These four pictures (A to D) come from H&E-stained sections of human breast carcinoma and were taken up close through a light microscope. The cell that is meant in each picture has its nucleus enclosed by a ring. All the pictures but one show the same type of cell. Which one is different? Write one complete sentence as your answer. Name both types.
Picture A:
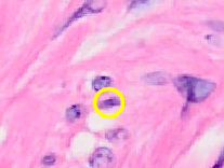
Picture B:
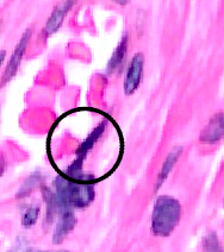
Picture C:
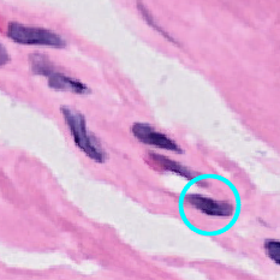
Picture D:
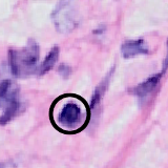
Picture D is the odd one out: it shows a lymphocyte, while the others show endothelial cells.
